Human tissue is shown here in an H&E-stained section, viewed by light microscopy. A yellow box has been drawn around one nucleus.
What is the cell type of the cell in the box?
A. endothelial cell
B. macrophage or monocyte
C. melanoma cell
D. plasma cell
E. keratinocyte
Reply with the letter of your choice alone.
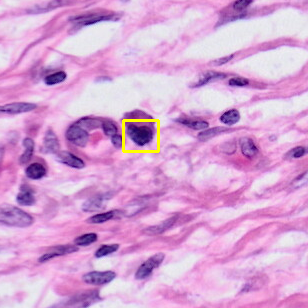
D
